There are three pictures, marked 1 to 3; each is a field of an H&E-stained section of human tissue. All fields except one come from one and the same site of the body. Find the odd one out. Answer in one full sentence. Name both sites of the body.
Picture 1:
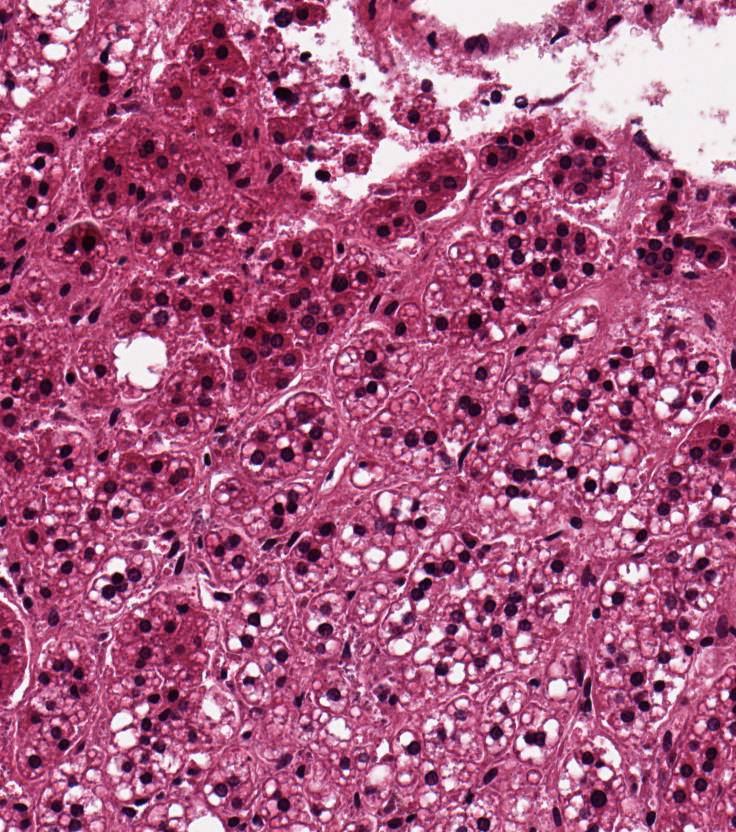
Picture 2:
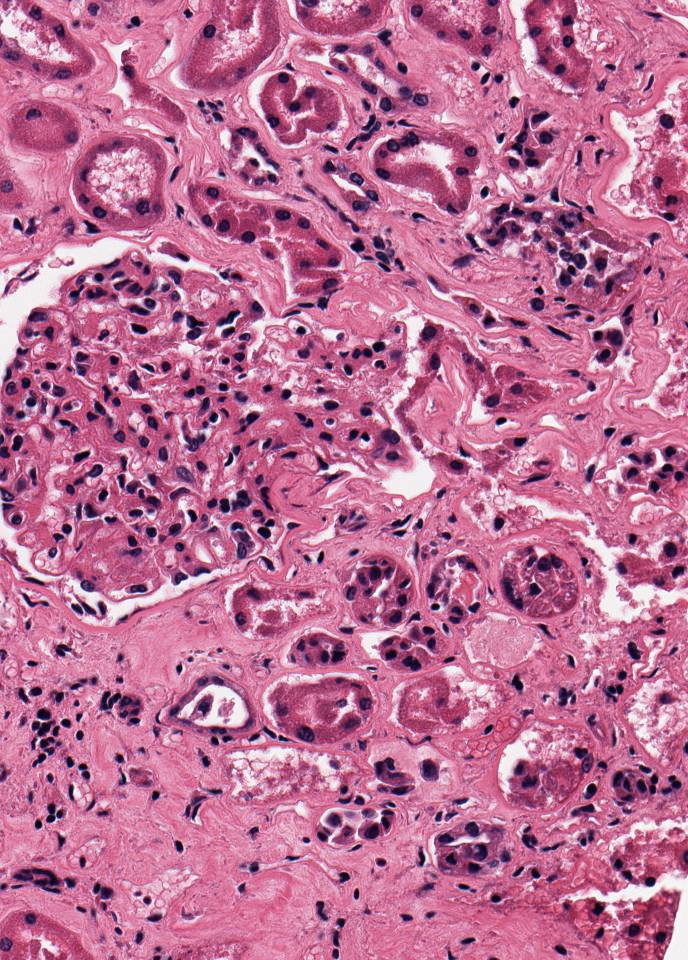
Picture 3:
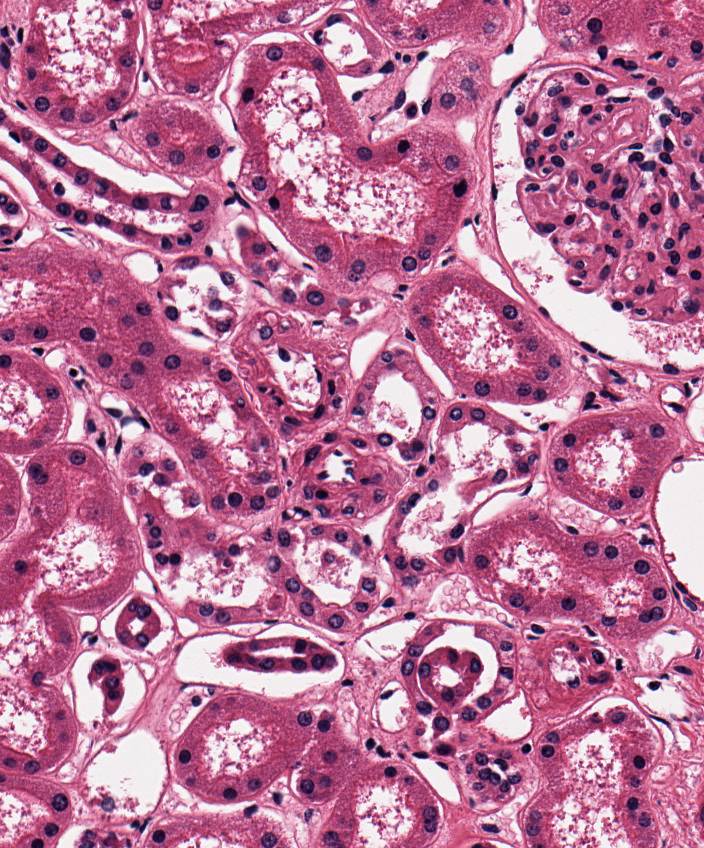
Picture 1 is the odd one out: it comes from the adrenal gland, while the others come from the renal cortex.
